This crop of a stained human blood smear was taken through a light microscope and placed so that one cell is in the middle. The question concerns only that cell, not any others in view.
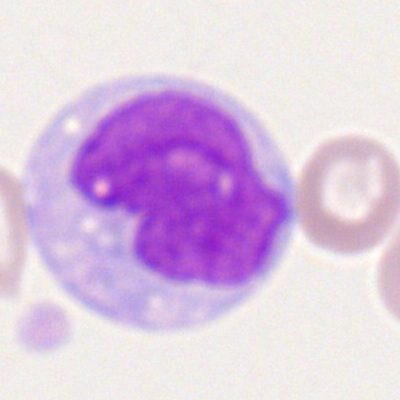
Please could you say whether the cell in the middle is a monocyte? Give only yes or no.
yes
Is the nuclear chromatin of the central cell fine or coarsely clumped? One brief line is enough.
What stands out is fine chromatin lacking any coarse clumps.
